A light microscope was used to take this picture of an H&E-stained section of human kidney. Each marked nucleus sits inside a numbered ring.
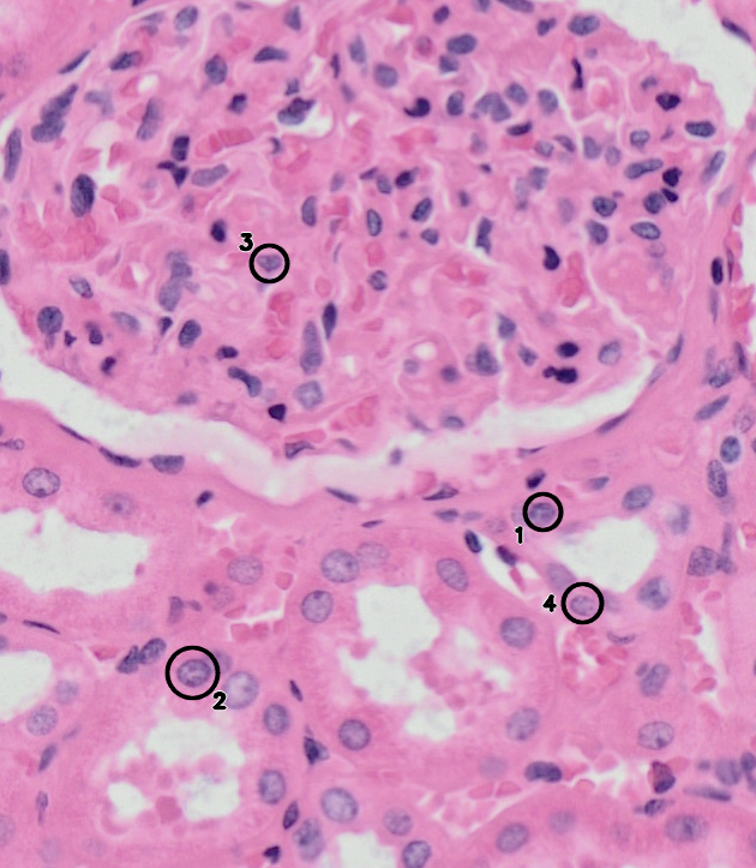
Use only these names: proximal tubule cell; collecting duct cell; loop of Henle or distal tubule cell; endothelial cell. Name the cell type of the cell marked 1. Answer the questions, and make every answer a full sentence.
In the tissue shown, cell 1 is a collecting duct cell.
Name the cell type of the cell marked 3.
The nucleus with number 3 is that of an endothelial cell.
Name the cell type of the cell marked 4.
Belonging to a collecting duct cell is the nucleus that carries the number 4.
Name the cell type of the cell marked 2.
In the tissue shown, cell 2 is a proximal tubule cell.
